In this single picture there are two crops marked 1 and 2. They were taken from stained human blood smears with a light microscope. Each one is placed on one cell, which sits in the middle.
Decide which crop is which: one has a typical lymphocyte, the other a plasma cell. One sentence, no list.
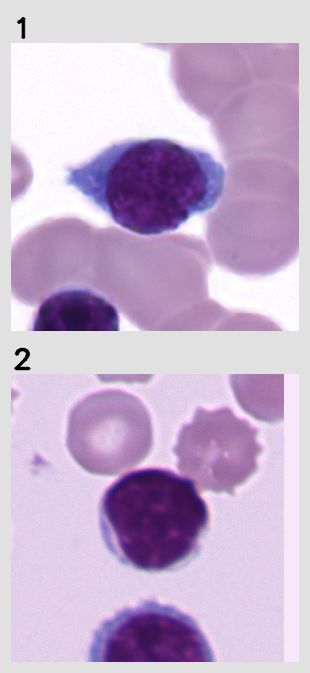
The cell in crop 1 is a plasma cell; the cell in crop 2 is a typical lymphocyte.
